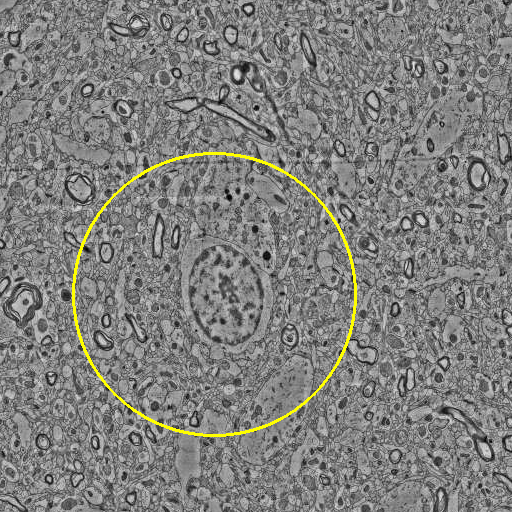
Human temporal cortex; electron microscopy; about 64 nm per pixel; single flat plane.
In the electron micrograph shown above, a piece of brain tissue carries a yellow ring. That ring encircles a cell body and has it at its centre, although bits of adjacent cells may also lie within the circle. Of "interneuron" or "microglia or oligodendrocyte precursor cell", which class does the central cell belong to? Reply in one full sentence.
The cell body at the centre of the yellow ring belongs to a microglial cell or oligodendrocyte precursor cell.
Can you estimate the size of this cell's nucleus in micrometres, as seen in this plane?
In this plane, the nucleus of the cell at the centre of the ring measures about 6 by 5 micrometres.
